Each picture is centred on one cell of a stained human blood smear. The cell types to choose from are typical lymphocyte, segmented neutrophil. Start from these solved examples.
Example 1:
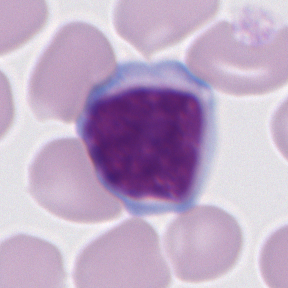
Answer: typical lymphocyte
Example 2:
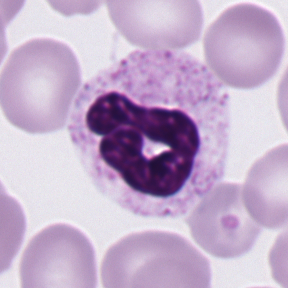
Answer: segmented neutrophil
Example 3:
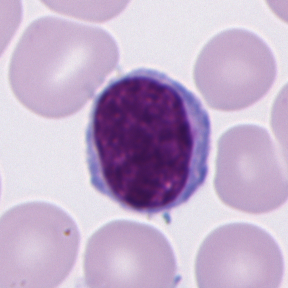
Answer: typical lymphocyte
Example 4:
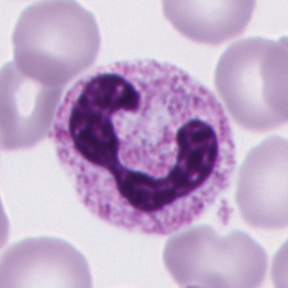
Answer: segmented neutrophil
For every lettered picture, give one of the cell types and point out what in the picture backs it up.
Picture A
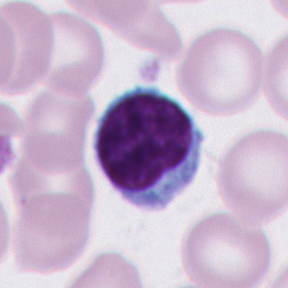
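typical lymphocyte. The cytoplasm is scant and forms a crescent mainly on the lower right of the nucleus.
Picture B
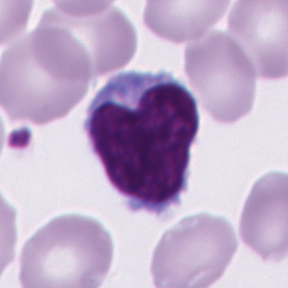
typical lymphocyte. The cytoplasm is a narrow rim that is widest above the nucleus.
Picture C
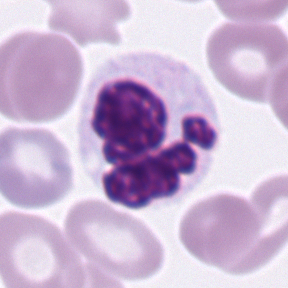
segmented neutrophil. The cytoplasm is plentiful and pale lilac-pink.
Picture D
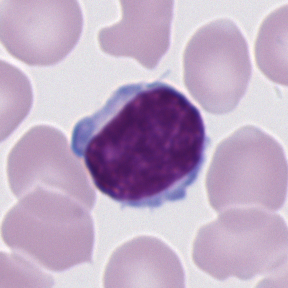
typical lymphocyte. The cytoplasm is a scanty rim that is widest on the left side of the cell.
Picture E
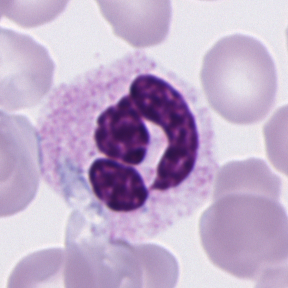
segmented neutrophil. The cytoplasm is abundant and pale pink.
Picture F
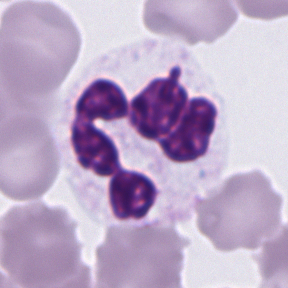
segmented neutrophil. The cytoplasm is plentiful and pale pinkish-lilac.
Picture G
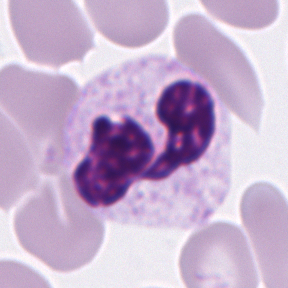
segmented neutrophil. The cytoplasm is abundant and pale pinkish-lilac.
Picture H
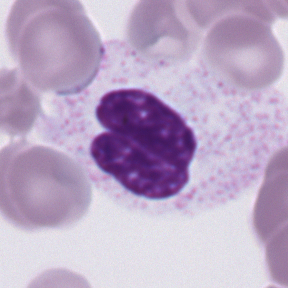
segmented neutrophil. The cytoplasm is abundant and very pale, almost colourless between the granules.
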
